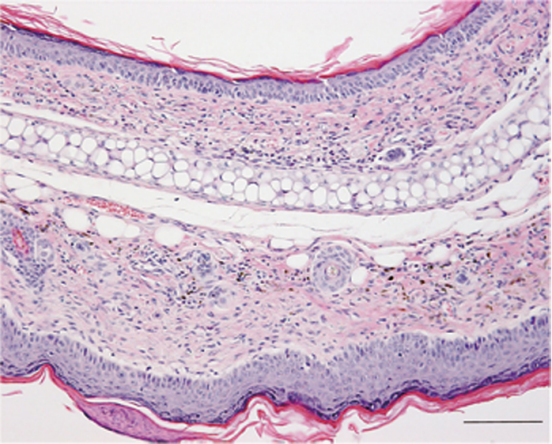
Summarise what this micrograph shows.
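This is a cross-section through a thin sheet of skin with a surface on each side, stained pink and purple. Both the upper and the lower surface carry a stratified epidermis of purple-staining layers topped by a bright pink keratin layer. Between the two skin surfaces lies a central band of pale, rounded, vacuolated cells. On either side of this central band is a loose pink dermis with scattered small dark nuclei and small vessels. Fine brown granules are scattered through the dermis.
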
